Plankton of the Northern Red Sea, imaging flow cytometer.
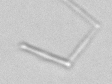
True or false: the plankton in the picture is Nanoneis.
True.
